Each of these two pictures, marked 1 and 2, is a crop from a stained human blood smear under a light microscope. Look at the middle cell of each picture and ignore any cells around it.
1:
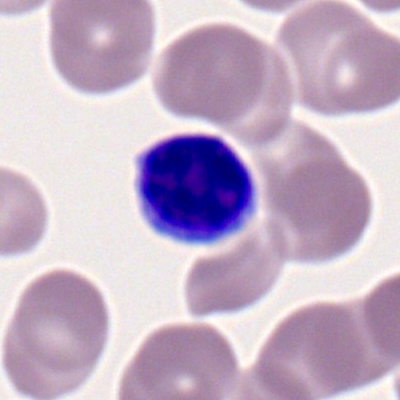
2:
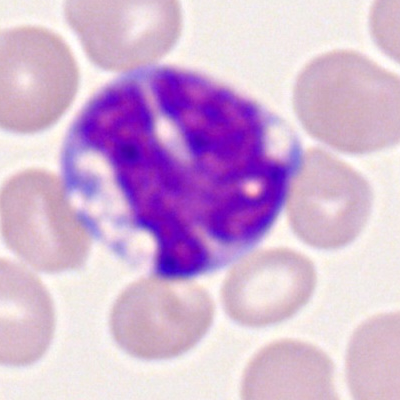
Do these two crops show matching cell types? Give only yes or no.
no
